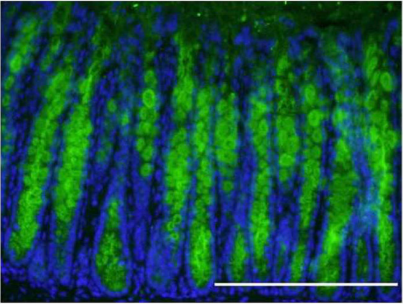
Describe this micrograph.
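Colonic mucosa in which long, closely set crypts run in parallel from base to surface, lined by epithelial cells with blue nuclei. Green mucus-filled goblet cells are densely packed along most of the length of each crypt, so that the crypts appear largely green. Blue nuclei line the crypt walls and fill the narrow spaces between neighbouring crypts.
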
